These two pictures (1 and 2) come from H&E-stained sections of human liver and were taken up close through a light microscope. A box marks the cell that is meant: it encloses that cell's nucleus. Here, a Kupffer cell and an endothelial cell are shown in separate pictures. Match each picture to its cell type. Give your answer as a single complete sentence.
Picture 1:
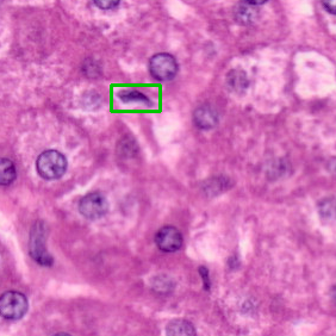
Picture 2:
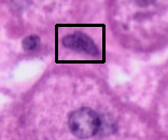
In picture 1 the cell is an endothelial cell; in picture 2, a Kupffer cell.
